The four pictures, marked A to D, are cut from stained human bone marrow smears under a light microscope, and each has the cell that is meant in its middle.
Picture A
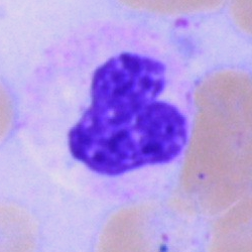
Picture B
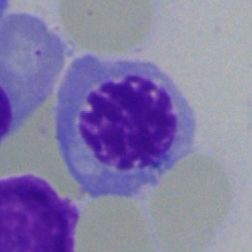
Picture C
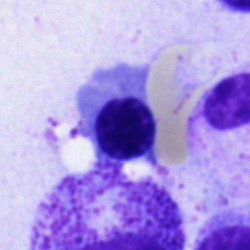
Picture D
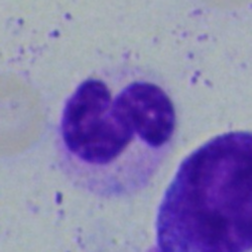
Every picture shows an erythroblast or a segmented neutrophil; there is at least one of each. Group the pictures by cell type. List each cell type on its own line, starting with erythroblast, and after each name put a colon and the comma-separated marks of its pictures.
erythroblast: B, C
segmented neutrophil: A, D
